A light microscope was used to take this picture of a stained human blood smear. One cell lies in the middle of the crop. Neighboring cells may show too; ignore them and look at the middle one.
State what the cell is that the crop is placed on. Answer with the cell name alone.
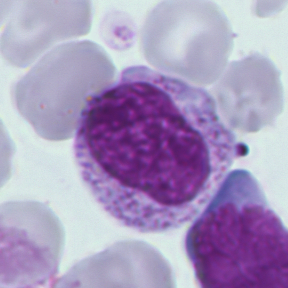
metamyelocyte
